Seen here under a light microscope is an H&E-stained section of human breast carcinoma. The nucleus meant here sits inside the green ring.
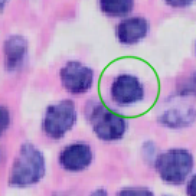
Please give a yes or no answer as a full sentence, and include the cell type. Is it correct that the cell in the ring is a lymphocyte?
Yes, the cell in the ring is properly regarded as a lymphocyte.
